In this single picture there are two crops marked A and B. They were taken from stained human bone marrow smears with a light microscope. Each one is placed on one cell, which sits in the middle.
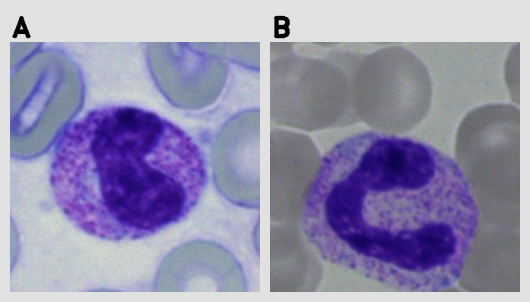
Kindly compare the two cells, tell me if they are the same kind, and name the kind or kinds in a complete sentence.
Yes, it is band neutrophils that both crops show.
